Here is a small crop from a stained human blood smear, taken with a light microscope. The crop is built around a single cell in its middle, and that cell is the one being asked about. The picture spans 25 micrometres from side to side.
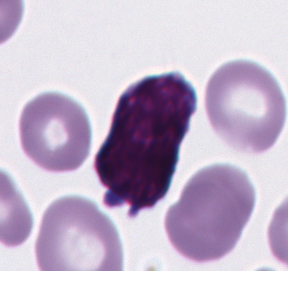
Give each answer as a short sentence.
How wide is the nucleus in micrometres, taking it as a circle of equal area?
The nucleus is about 9 micrometres across.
